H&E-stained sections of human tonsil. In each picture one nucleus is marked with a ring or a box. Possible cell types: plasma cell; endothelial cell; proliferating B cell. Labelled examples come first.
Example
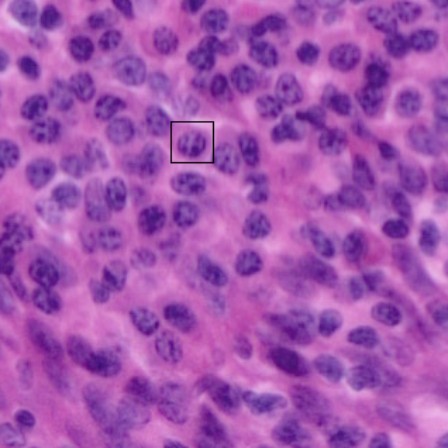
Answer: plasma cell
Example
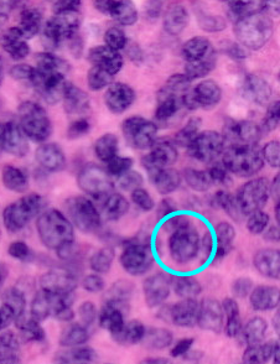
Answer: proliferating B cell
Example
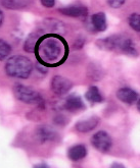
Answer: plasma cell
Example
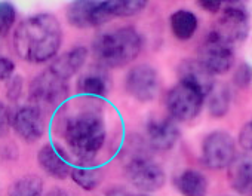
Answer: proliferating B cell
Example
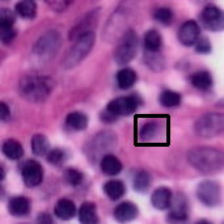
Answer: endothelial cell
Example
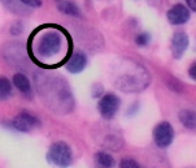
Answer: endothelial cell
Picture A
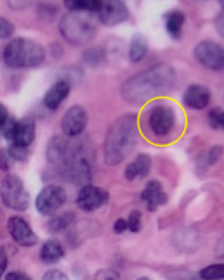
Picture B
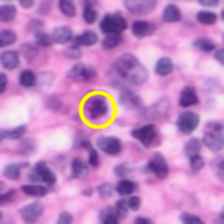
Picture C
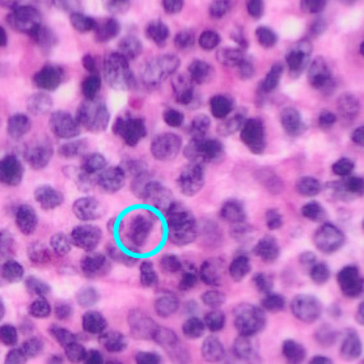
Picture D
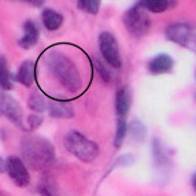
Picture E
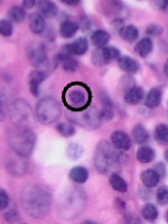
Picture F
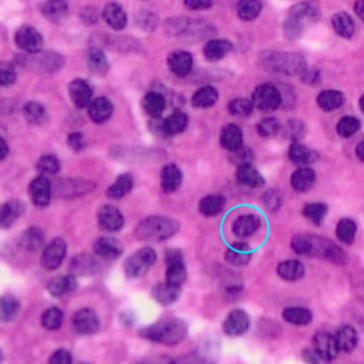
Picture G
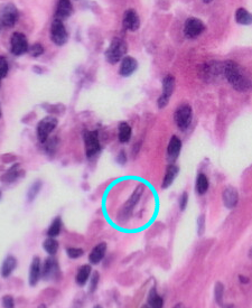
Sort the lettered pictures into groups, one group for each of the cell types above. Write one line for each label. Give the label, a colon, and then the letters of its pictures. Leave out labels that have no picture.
plasma cell: F
endothelial cell: A, D, E, G
proliferating B cell: B, C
